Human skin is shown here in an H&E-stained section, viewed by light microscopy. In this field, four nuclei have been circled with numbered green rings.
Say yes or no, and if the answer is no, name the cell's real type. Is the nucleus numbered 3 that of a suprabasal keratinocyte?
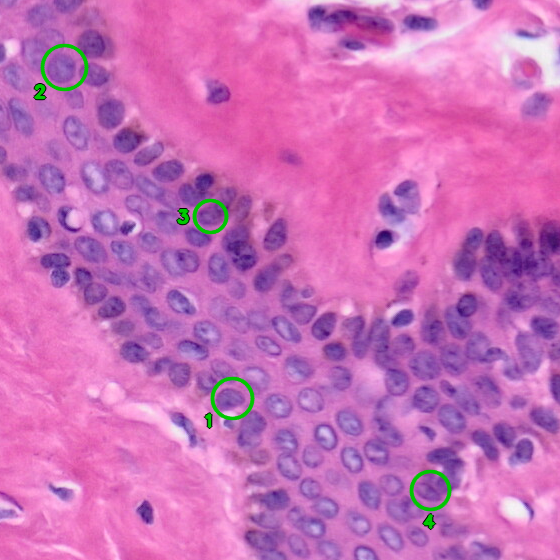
No, it is a basal keratinocyte.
